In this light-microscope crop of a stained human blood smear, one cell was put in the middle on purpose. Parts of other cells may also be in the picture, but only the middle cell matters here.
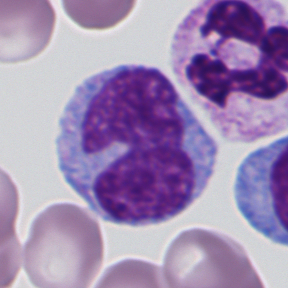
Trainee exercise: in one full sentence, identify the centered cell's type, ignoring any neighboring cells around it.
Of the cells in this crop, the central one is a monocyte.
